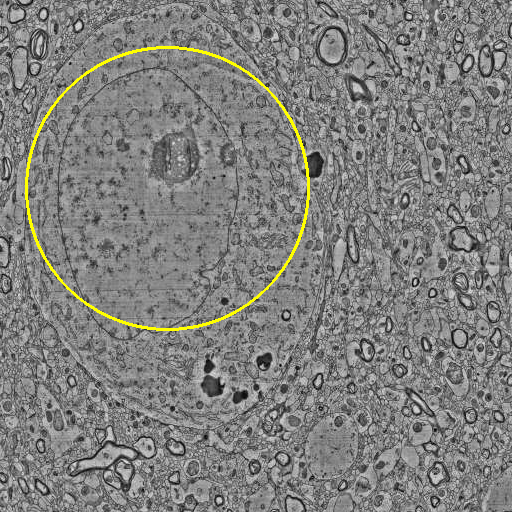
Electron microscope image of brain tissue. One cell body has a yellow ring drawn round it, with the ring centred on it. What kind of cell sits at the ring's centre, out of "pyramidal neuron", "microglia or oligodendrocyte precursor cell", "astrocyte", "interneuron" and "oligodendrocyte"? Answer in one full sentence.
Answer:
It is a pyramidal neuron whose cell body sits at the centre of the yellow ring.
